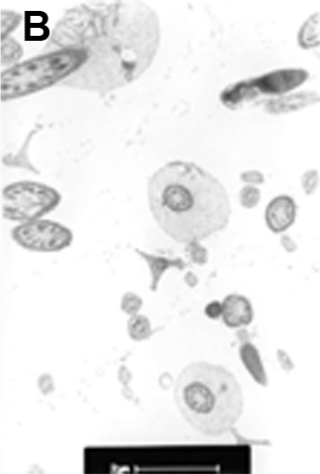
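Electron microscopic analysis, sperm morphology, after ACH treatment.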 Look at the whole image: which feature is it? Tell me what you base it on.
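The pale halos are bounded by a thin membrane and are far larger than the tail section they enclose.
Answer: cytoplasmic droplets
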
